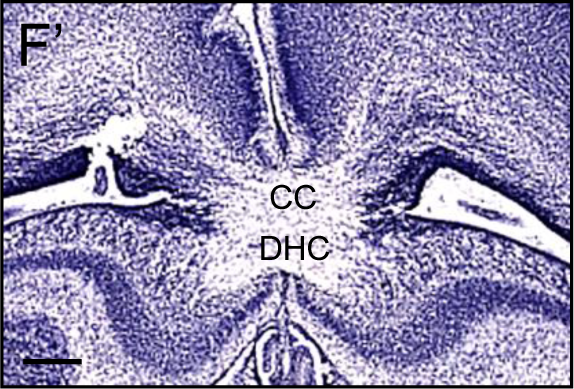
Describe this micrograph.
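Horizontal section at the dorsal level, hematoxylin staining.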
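This is the midline of the forebrain where fibre tracts cross between the two hemispheres. The crossing axon bundles appear as a broad pale, weakly stained zone at the centre, with fine streaks radiating out toward each side. Around it lies dark purple, densely packed tissue in which many small nuclei crowd together. The two hemispheres meet along a narrow vertical cleft at the top, and open fluid spaces lined by tissue lie to the left and right of the crossing zone. The pale crossing region is continuous from an upper bundle down into a second pale tract below it.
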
